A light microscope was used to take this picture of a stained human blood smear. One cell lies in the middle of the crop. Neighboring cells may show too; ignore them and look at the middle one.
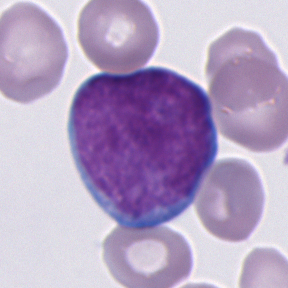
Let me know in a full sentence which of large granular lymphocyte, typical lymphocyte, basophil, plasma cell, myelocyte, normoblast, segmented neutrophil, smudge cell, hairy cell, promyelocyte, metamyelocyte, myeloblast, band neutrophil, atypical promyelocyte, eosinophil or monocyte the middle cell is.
The cell centered in this field of view is a myeloblast.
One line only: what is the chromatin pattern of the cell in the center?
The chromatin shows a fine pattern without coarse clumps.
